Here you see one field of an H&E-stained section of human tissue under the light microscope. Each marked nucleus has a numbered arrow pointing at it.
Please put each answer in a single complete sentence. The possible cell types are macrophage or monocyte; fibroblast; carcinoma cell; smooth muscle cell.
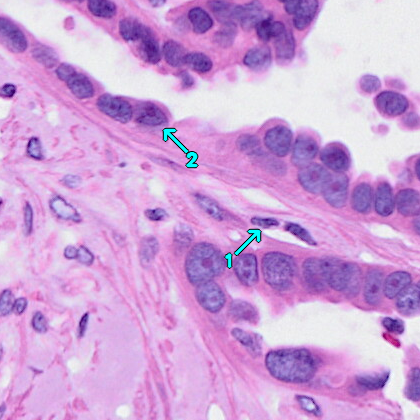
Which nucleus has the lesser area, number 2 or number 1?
The smaller nucleus is 1, and 2 covers roughly 3 times its area.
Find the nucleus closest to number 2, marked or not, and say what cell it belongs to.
The cell nearest to number 2 is a carcinoma cell.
